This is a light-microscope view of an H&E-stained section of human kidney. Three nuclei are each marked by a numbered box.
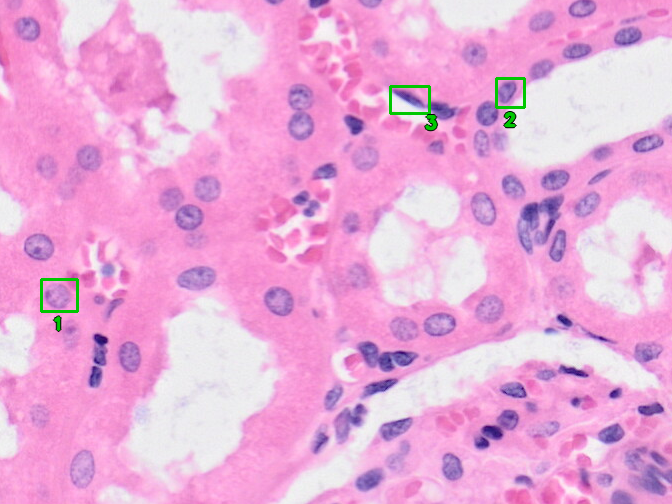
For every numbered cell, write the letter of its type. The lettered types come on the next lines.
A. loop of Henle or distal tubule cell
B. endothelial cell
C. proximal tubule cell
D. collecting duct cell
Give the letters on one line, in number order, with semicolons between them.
C; D; B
